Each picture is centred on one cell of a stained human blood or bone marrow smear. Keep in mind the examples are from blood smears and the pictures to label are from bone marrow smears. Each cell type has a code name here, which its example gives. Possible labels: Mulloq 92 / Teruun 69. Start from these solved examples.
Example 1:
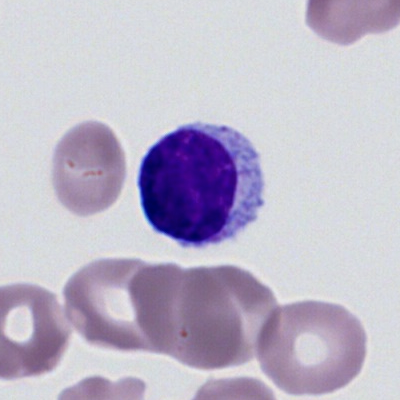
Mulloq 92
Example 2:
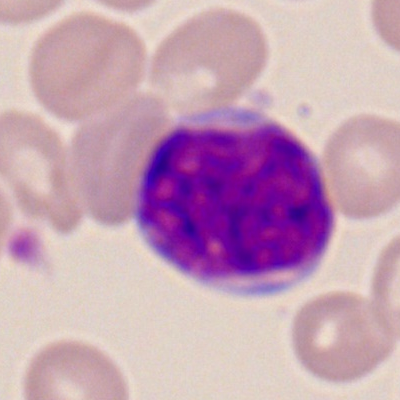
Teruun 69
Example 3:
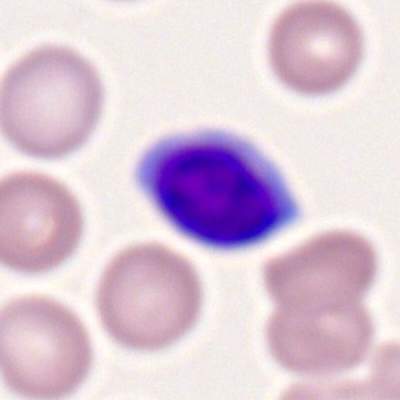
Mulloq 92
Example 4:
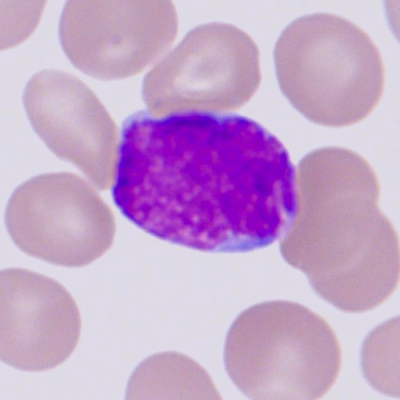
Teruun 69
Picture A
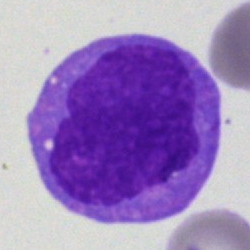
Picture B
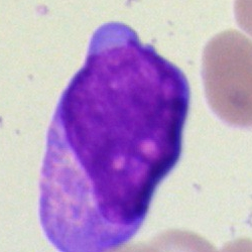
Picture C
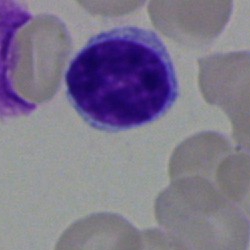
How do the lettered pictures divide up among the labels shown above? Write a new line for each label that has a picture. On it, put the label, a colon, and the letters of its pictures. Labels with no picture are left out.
Mulloq 92: C
Teruun 69: A, B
